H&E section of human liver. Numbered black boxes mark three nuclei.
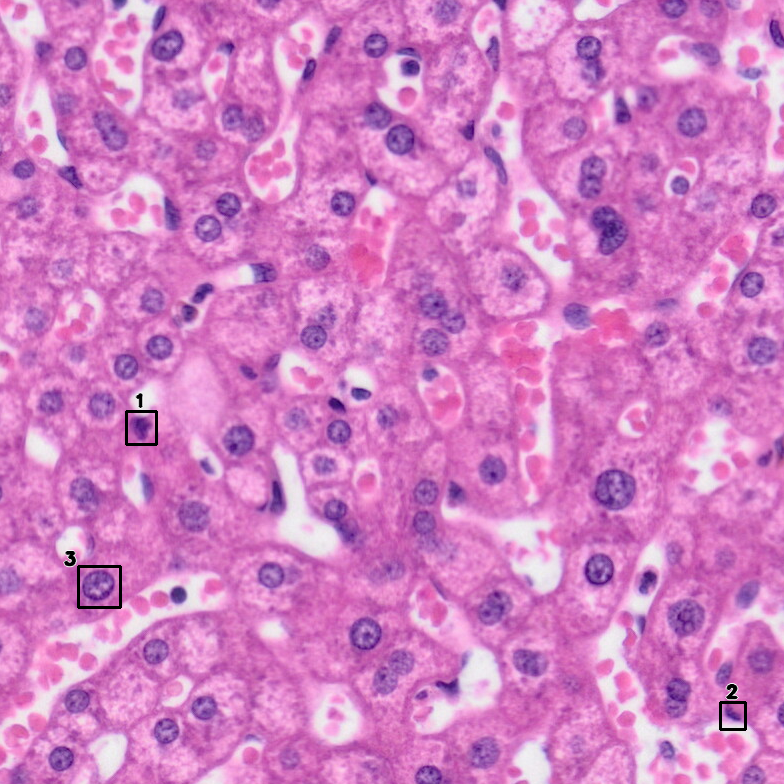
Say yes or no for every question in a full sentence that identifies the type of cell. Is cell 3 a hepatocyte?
Yes, of the numbered cells, number 3 is a hepatocyte.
